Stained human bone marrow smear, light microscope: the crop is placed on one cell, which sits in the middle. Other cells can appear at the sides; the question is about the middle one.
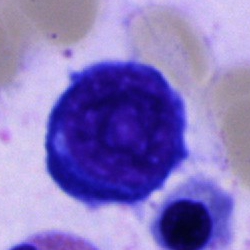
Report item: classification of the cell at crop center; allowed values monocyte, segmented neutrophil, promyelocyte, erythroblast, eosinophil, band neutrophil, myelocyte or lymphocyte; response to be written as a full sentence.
The central cell in this smear crop is an erythroblast.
